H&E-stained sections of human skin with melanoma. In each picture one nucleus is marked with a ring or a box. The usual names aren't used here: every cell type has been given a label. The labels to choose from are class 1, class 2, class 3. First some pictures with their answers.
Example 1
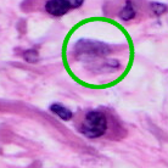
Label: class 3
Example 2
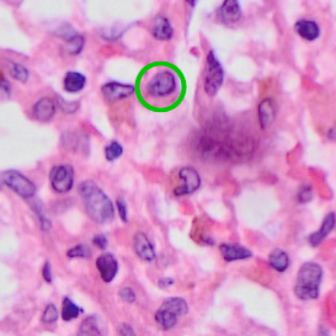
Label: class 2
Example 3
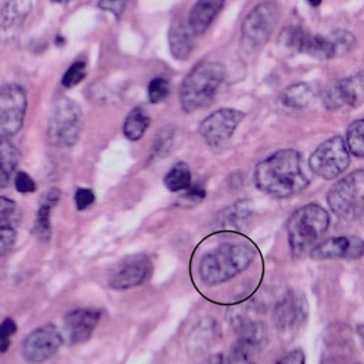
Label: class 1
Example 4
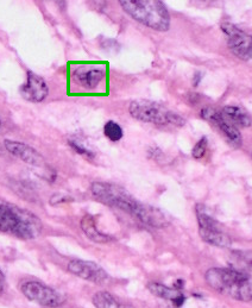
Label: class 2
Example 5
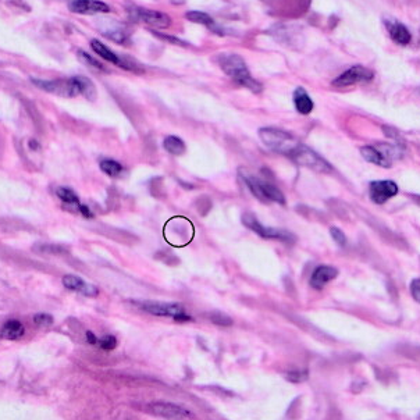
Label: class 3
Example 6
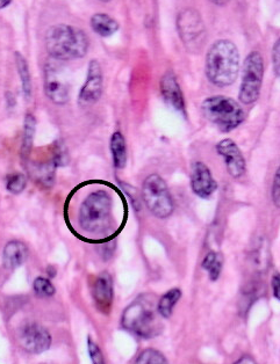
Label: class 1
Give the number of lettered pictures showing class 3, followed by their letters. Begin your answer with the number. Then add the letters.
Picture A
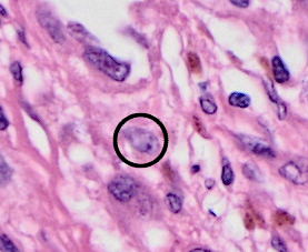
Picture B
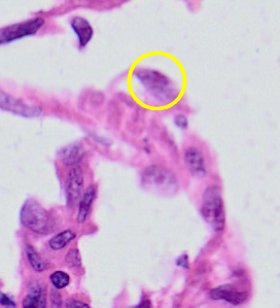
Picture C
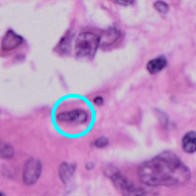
0, none of them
